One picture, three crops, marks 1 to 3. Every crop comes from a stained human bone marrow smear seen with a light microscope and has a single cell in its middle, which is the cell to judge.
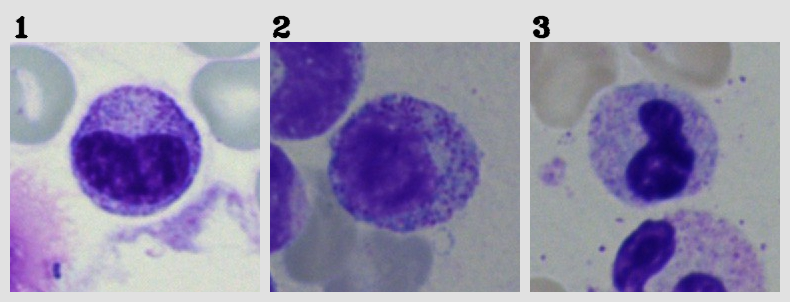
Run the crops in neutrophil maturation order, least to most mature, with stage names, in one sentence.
Counting from the least mature up to the most mature, the order is crop 2 (a myelocyte), crop 1 (a metamyelocyte) and crop 3 (a band neutrophil).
